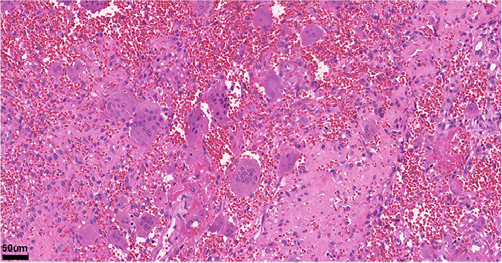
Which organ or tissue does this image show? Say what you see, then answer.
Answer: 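Background of spindle to oval mononuclear cells with red cells between them. The answer: giant cell lesion.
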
